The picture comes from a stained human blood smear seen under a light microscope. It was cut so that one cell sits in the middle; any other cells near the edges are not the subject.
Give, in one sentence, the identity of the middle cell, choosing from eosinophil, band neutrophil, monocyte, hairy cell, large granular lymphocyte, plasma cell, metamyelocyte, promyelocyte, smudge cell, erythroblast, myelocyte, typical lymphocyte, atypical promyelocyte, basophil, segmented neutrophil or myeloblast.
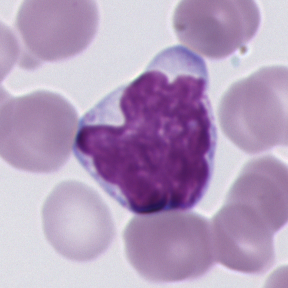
Whatever else lies nearby, the middle cell is a large granular lymphocyte.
